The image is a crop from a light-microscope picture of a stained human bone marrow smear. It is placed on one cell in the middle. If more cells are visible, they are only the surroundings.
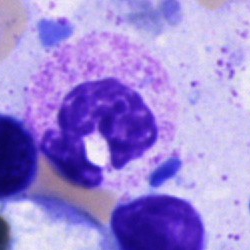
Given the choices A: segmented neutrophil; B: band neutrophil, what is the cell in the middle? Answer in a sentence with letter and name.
Since the cell in the centre is a segmented neutrophil, the correct option is A.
